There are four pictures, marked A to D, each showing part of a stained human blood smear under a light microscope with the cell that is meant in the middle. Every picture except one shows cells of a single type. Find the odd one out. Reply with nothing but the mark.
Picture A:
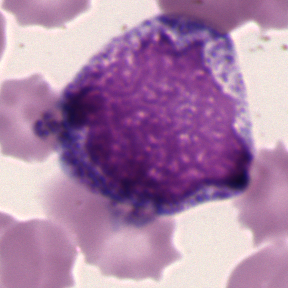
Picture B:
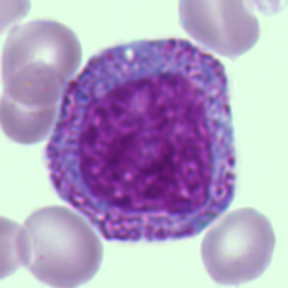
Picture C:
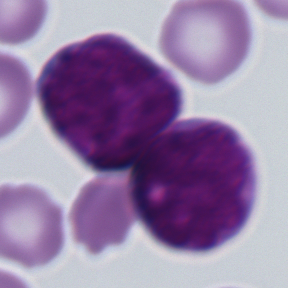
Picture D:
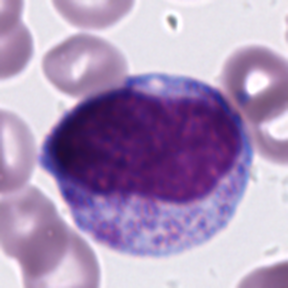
C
